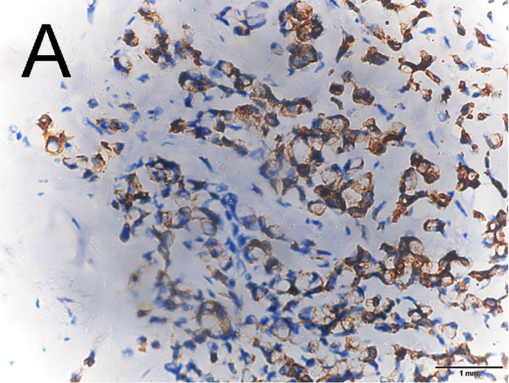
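Tumor cells form irregular cords, small clusters and scattered single cells within a pale stroma. Many of the tumor cells show brown staining of the cytoplasm and cell borders. Their nuclei are dark blue and vary in shape.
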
